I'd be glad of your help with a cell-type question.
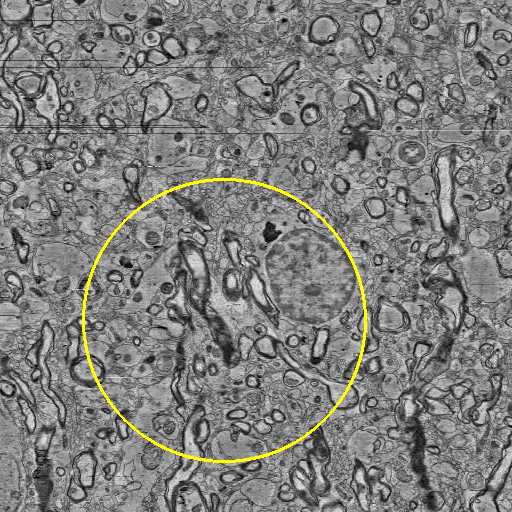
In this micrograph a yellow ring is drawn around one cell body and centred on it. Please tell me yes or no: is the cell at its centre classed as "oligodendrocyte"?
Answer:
no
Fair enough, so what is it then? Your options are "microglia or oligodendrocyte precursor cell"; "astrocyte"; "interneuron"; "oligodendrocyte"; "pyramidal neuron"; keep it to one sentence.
The cell shown in the ring is a microglial cell or oligodendrocyte precursor cell.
